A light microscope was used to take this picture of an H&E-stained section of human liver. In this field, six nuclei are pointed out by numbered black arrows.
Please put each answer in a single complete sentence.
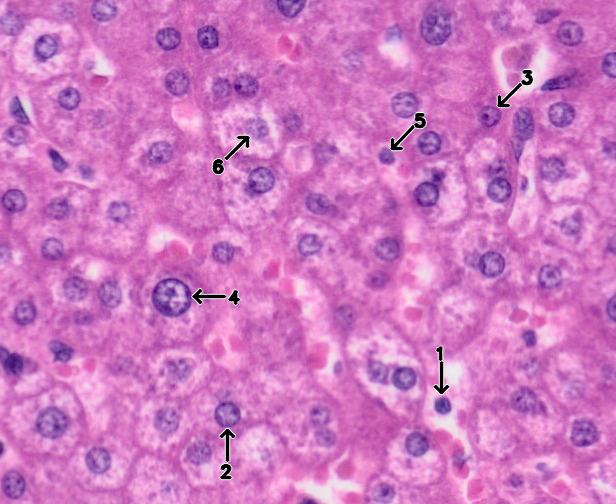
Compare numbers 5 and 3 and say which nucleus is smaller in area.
Number 5 is smaller, since number 3 takes up about 1.5 times as much area.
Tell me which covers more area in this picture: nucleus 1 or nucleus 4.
The larger nucleus is 4, at roughly 4 times the area of 1.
